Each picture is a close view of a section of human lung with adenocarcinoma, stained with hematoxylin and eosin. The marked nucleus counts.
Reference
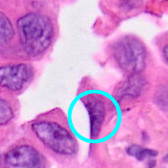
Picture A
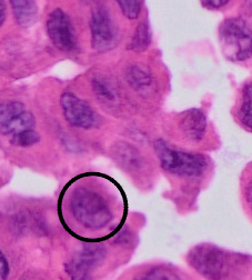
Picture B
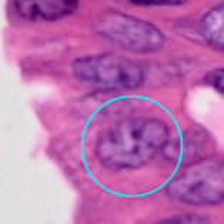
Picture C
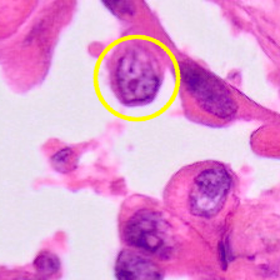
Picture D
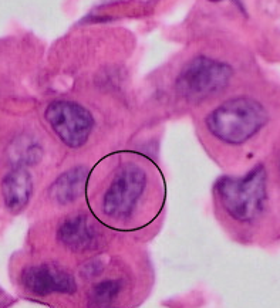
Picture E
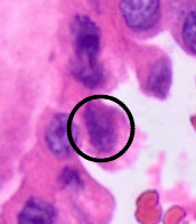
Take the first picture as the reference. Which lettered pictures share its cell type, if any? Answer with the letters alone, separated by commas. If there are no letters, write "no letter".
A, B, C, D, E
